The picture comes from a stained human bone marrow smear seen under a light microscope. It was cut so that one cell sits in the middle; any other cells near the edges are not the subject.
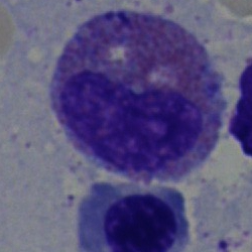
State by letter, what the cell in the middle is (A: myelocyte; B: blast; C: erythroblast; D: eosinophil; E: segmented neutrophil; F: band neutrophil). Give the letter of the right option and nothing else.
D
